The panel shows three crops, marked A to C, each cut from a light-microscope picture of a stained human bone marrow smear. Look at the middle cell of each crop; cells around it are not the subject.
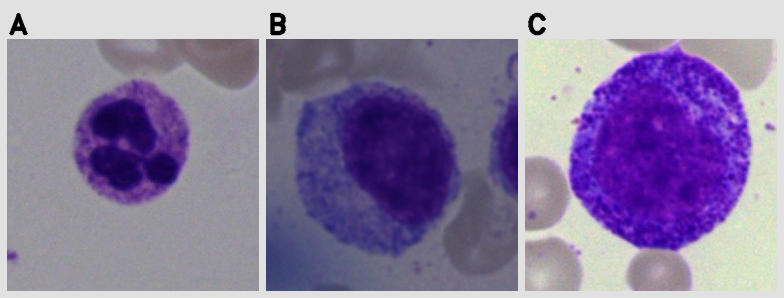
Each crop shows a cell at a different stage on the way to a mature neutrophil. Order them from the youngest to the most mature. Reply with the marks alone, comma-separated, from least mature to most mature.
C, B, A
